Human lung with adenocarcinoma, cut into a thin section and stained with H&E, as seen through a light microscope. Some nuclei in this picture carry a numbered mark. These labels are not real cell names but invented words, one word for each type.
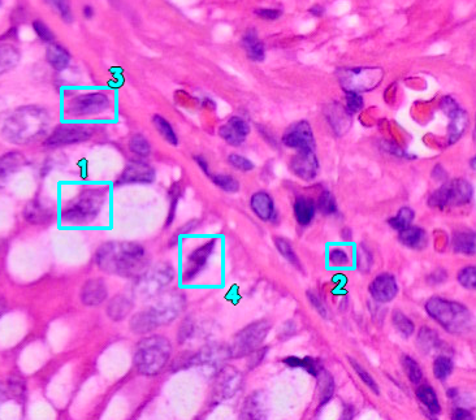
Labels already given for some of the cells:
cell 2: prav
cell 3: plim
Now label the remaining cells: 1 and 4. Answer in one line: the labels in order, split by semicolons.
plim; plim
